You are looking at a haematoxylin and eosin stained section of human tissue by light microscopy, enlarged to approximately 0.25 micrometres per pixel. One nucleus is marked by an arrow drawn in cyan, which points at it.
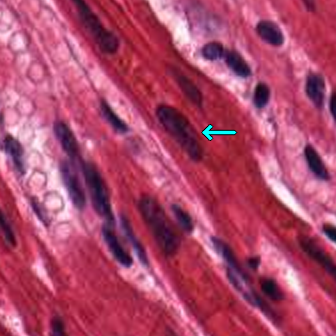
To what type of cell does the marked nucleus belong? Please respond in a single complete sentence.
The marked nucleus is contained in a cardiomyocyte.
